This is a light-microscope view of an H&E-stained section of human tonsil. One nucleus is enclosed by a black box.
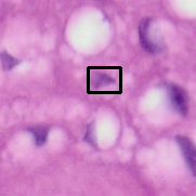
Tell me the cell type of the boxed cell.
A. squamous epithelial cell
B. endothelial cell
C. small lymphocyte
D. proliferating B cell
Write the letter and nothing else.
A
